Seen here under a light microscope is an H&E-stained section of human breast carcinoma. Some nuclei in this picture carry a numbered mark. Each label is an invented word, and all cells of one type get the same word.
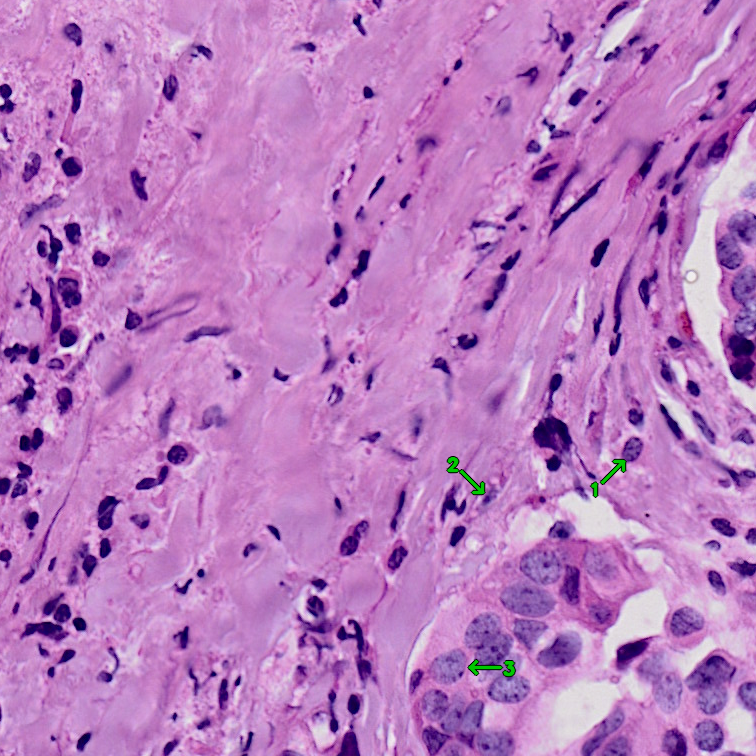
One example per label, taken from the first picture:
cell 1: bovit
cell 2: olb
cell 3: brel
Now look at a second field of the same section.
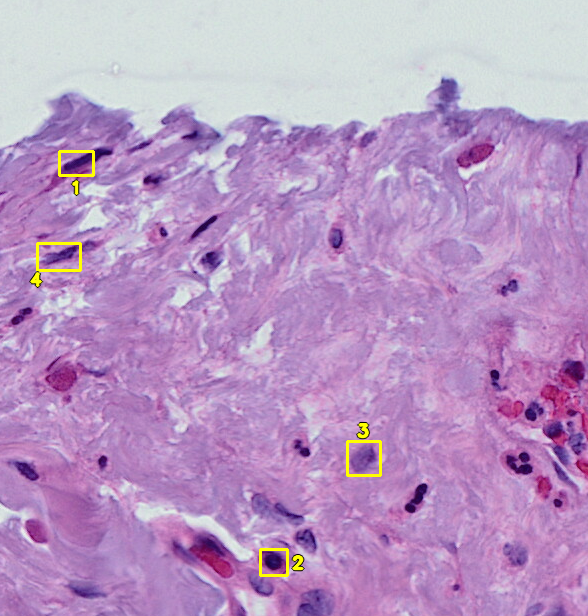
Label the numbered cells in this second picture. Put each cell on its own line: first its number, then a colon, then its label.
1: olb
2: bovit
3: olb
4: olb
